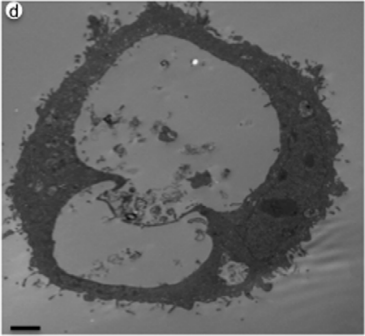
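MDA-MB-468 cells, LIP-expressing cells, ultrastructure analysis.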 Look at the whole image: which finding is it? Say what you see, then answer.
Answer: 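Most of the cell is taken up by a huge pale rounded space. The cytoplasm is reduced to a thin dark rim around it.
Enormous vacuoles.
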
